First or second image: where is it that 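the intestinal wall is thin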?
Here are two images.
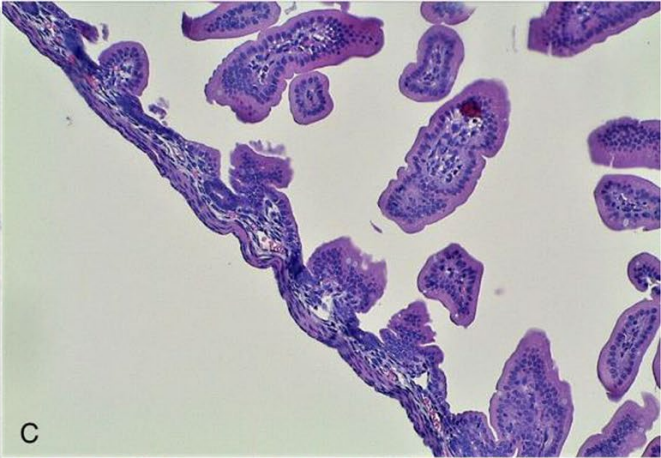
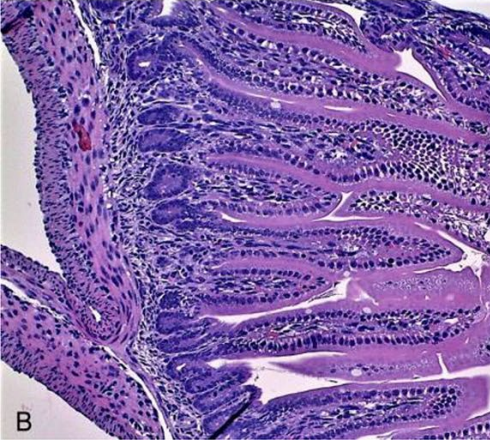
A: The first image.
